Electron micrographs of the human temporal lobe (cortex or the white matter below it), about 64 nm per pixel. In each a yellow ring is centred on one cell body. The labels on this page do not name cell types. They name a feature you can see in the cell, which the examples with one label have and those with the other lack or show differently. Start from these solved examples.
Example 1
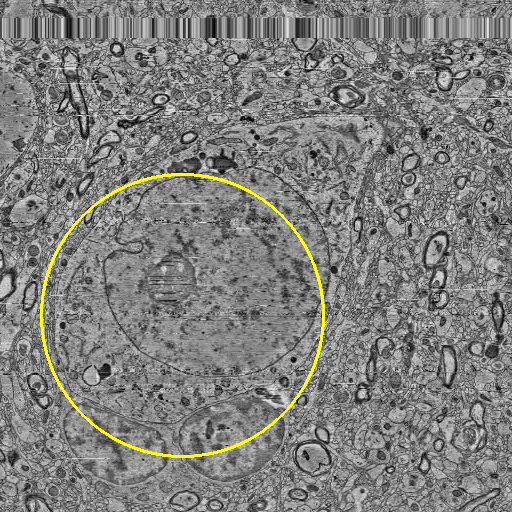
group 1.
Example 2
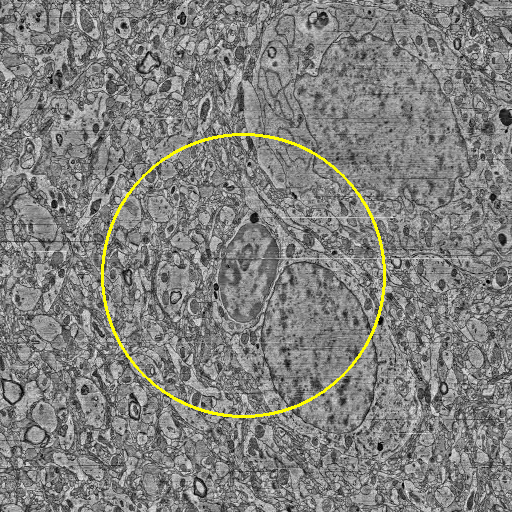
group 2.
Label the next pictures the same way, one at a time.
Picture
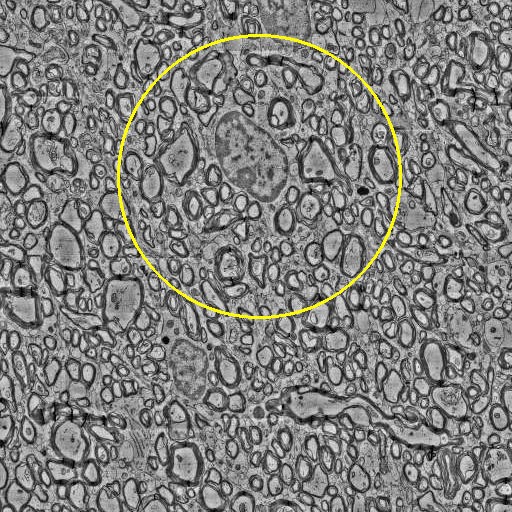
group 2.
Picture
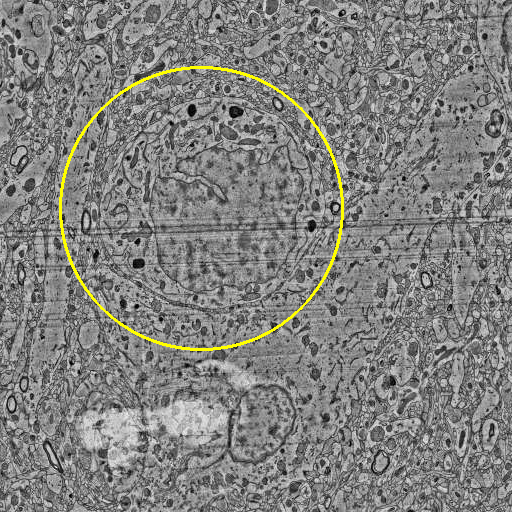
group 1.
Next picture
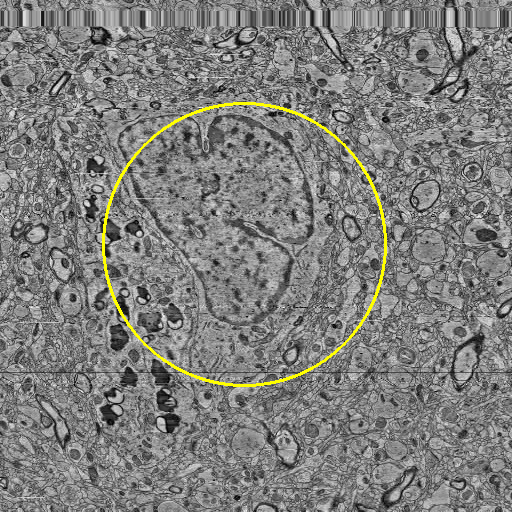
group 1.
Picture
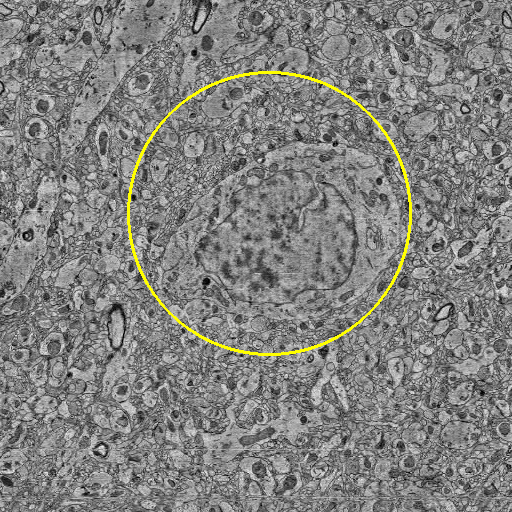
group 1.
